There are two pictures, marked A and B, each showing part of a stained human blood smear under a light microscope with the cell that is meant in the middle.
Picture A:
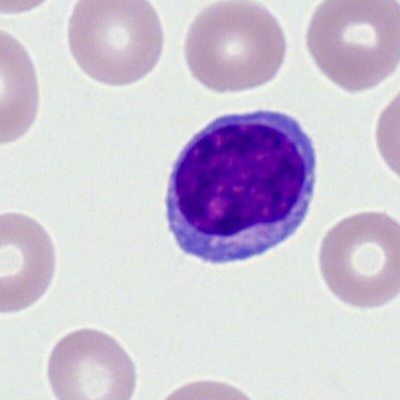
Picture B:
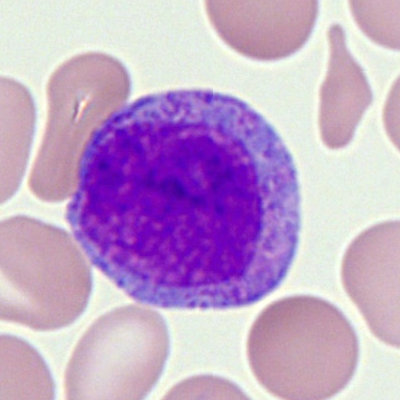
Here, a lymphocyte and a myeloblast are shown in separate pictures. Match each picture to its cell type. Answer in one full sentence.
In picture A the cell is a lymphocyte; in picture B, a myeloblast.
